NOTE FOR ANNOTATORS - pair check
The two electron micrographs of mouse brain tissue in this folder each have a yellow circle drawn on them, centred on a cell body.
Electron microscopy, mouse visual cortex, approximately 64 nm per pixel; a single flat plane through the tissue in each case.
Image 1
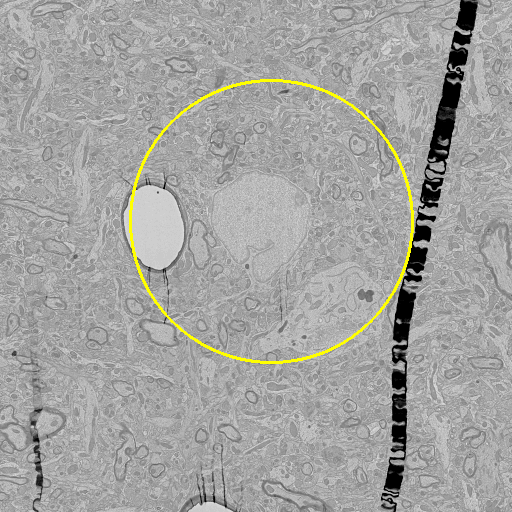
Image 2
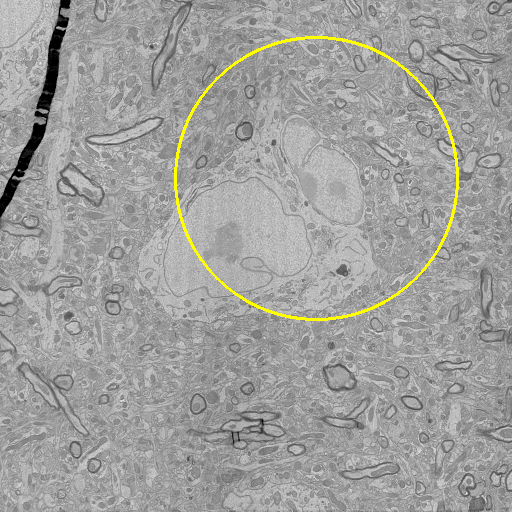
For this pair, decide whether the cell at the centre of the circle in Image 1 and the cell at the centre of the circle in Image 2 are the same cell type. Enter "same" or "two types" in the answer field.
same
